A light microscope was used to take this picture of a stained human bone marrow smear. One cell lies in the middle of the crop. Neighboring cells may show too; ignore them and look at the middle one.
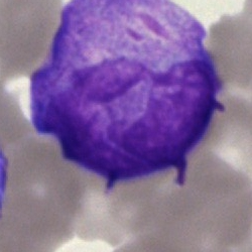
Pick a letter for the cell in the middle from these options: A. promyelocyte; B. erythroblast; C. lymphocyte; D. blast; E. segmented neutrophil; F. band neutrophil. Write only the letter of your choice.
D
